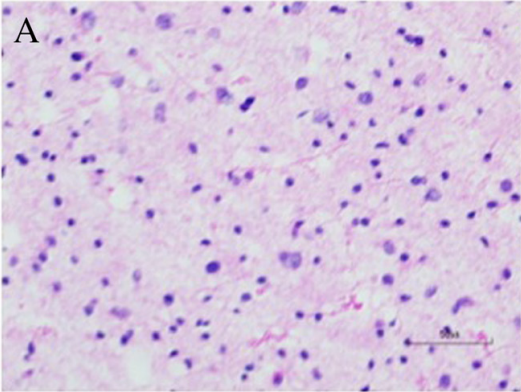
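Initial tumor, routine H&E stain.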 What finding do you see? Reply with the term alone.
Hypercellularity.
